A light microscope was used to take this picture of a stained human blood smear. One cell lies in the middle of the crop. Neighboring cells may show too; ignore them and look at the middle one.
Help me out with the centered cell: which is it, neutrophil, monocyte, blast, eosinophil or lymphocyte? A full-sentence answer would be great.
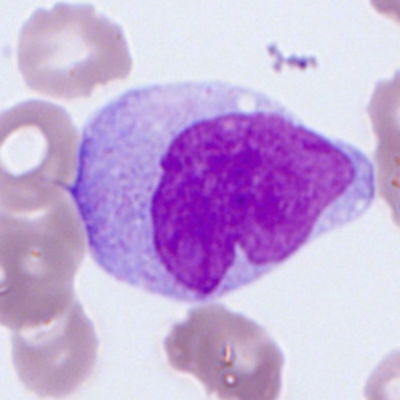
The cell centred in this crop is categorized as a monocyte.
